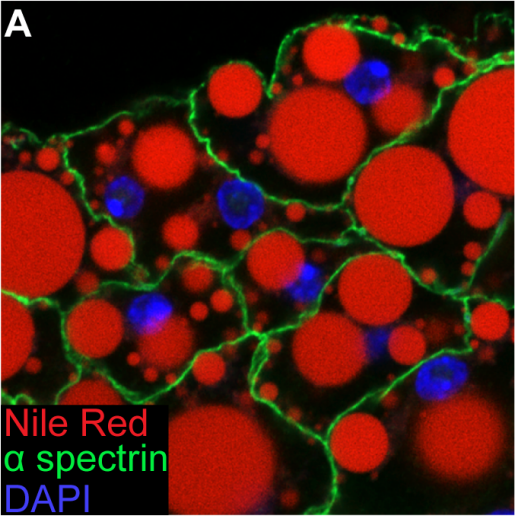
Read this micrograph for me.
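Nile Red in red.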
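Several polygonal fat cells are outlined by thin, slightly wavy green boundaries, each packed with red round droplets. The droplets range from tiny dots to huge spheres filling much of a cell, and they are smooth and evenly red. Blue round nuclei sit squeezed in the narrow spaces between droplets.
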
